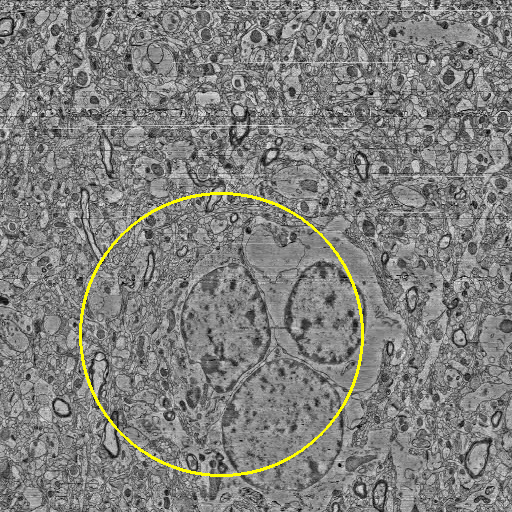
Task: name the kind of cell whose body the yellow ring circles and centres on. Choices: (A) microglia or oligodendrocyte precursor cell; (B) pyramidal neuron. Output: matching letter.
A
